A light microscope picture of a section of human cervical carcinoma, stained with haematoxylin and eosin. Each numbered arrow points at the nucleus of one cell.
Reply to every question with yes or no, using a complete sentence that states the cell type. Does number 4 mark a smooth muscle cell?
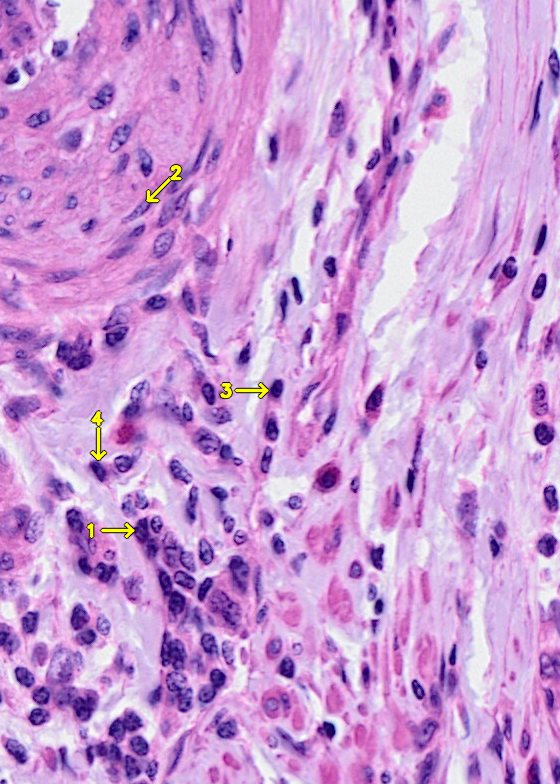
No, cell 4 does not count as a smooth muscle cell; it is a lymphocyte.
